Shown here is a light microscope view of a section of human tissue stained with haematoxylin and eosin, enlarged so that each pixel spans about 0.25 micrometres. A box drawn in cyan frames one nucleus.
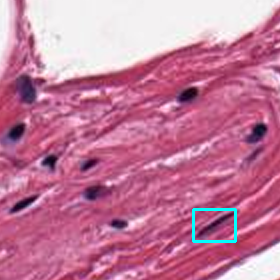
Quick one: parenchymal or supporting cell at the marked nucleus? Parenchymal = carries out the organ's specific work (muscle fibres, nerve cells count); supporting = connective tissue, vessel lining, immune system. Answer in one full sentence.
Designated as that of a supporting cell is the marked nucleus.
